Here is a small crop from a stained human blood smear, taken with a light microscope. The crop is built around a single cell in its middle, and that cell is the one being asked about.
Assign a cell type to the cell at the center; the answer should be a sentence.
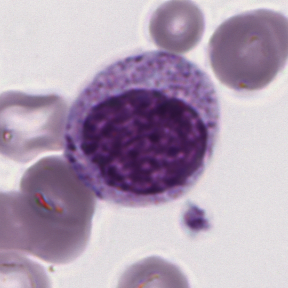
The centered cell in this crop is a myelocyte.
